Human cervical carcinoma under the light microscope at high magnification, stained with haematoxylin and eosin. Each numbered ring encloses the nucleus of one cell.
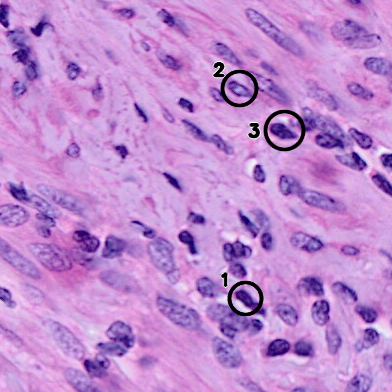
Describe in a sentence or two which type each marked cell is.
Cells 1 and 3 are lymphocytes. Cell 2 is a smooth muscle cell.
